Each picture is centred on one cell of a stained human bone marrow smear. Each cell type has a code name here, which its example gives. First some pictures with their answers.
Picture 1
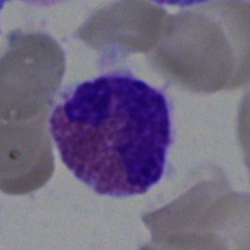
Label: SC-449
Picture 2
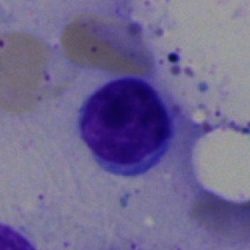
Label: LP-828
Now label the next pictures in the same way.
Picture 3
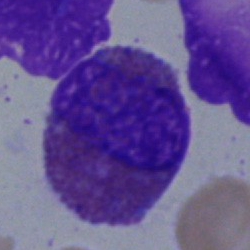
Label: SC-449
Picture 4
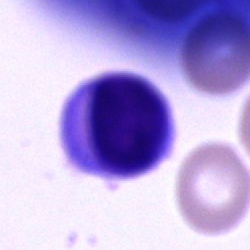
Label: LP-828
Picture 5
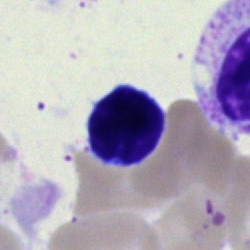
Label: LP-828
